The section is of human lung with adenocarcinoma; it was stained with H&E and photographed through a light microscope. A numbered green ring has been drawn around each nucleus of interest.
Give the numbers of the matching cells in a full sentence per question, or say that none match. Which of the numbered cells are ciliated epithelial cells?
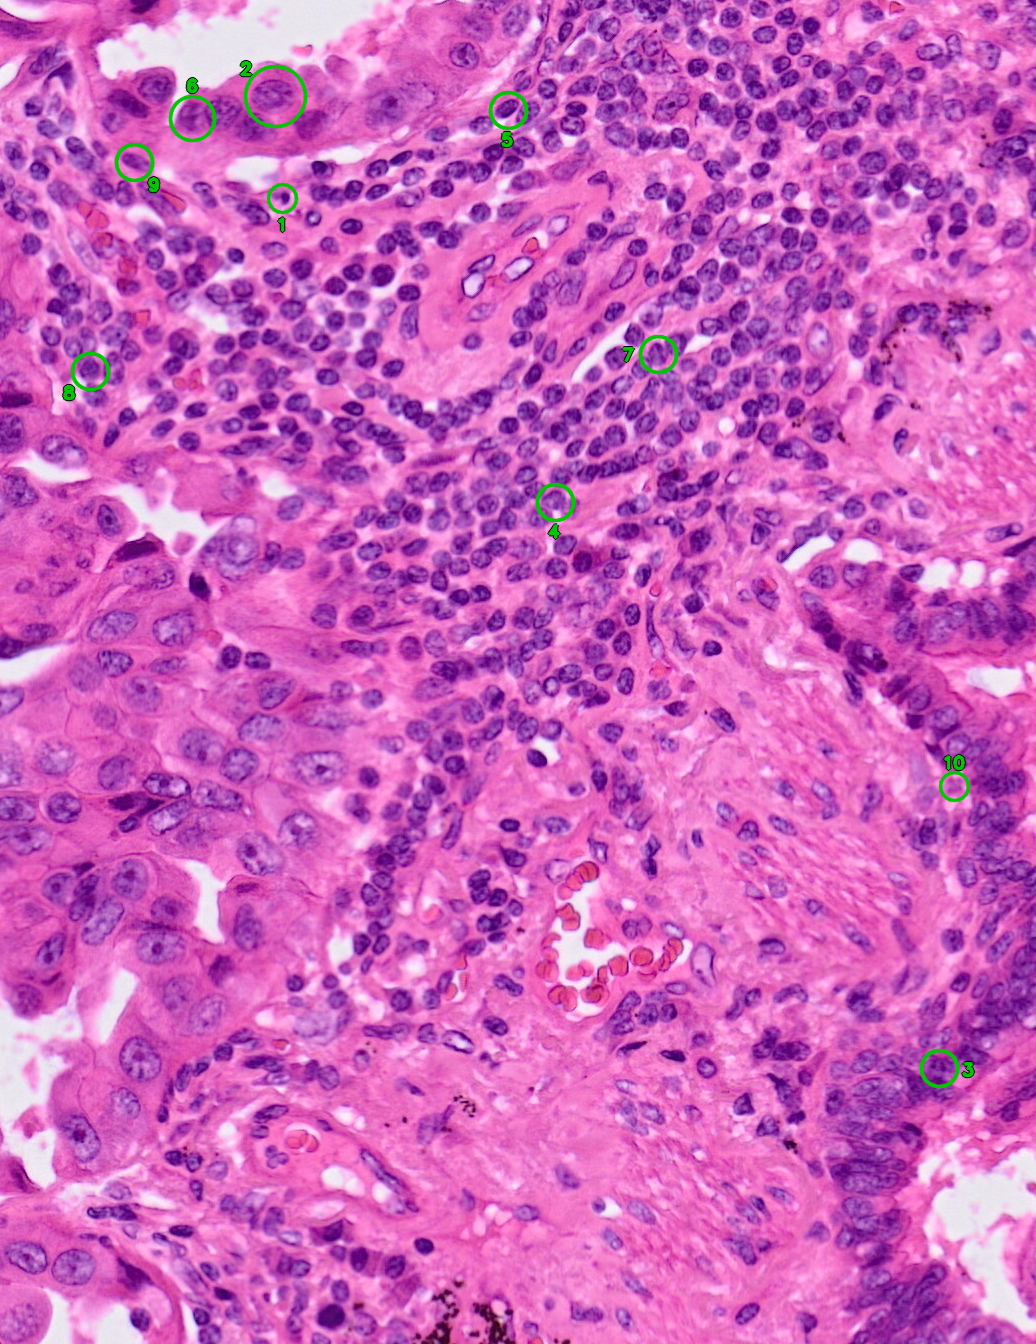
The cells which carry the numbers 3 and 10 are ciliated epithelial cells.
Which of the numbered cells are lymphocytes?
The cells assigned the numbers 1, 4, 5, 7, 8 and 9 are lymphocytes.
